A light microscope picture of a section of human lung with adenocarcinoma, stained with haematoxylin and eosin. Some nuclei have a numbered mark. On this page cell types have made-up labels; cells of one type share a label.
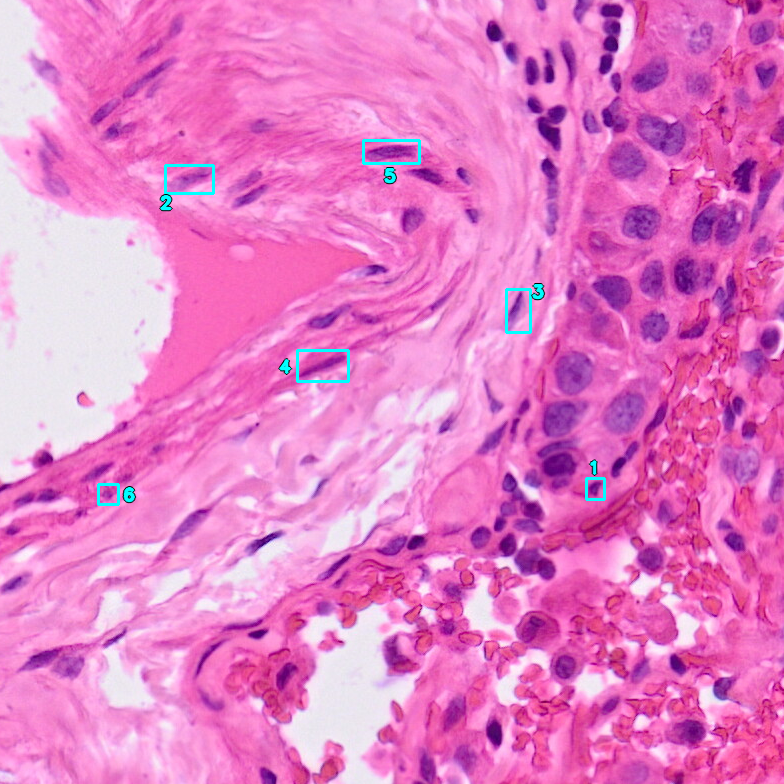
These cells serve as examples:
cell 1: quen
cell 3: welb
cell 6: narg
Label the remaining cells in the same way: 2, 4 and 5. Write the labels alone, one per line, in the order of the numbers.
narg
narg
narg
